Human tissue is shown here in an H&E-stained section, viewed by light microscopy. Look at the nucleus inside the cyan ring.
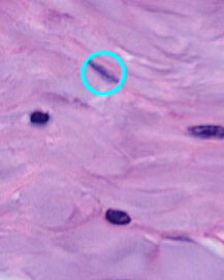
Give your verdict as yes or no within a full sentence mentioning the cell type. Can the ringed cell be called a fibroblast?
Yes, put very simply, the ringed cell is a fibroblast.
